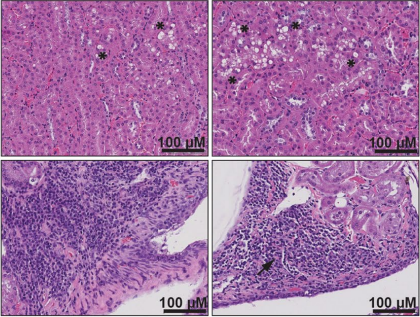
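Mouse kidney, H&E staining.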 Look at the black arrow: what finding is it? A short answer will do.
Interstitial mononuclear cell infiltrate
